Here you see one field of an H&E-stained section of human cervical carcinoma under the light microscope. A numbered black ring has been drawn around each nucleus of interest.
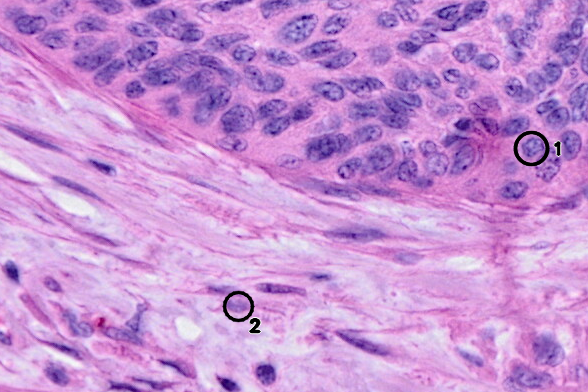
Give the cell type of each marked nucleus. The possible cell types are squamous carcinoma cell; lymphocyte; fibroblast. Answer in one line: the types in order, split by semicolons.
squamous carcinoma cell; fibroblast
